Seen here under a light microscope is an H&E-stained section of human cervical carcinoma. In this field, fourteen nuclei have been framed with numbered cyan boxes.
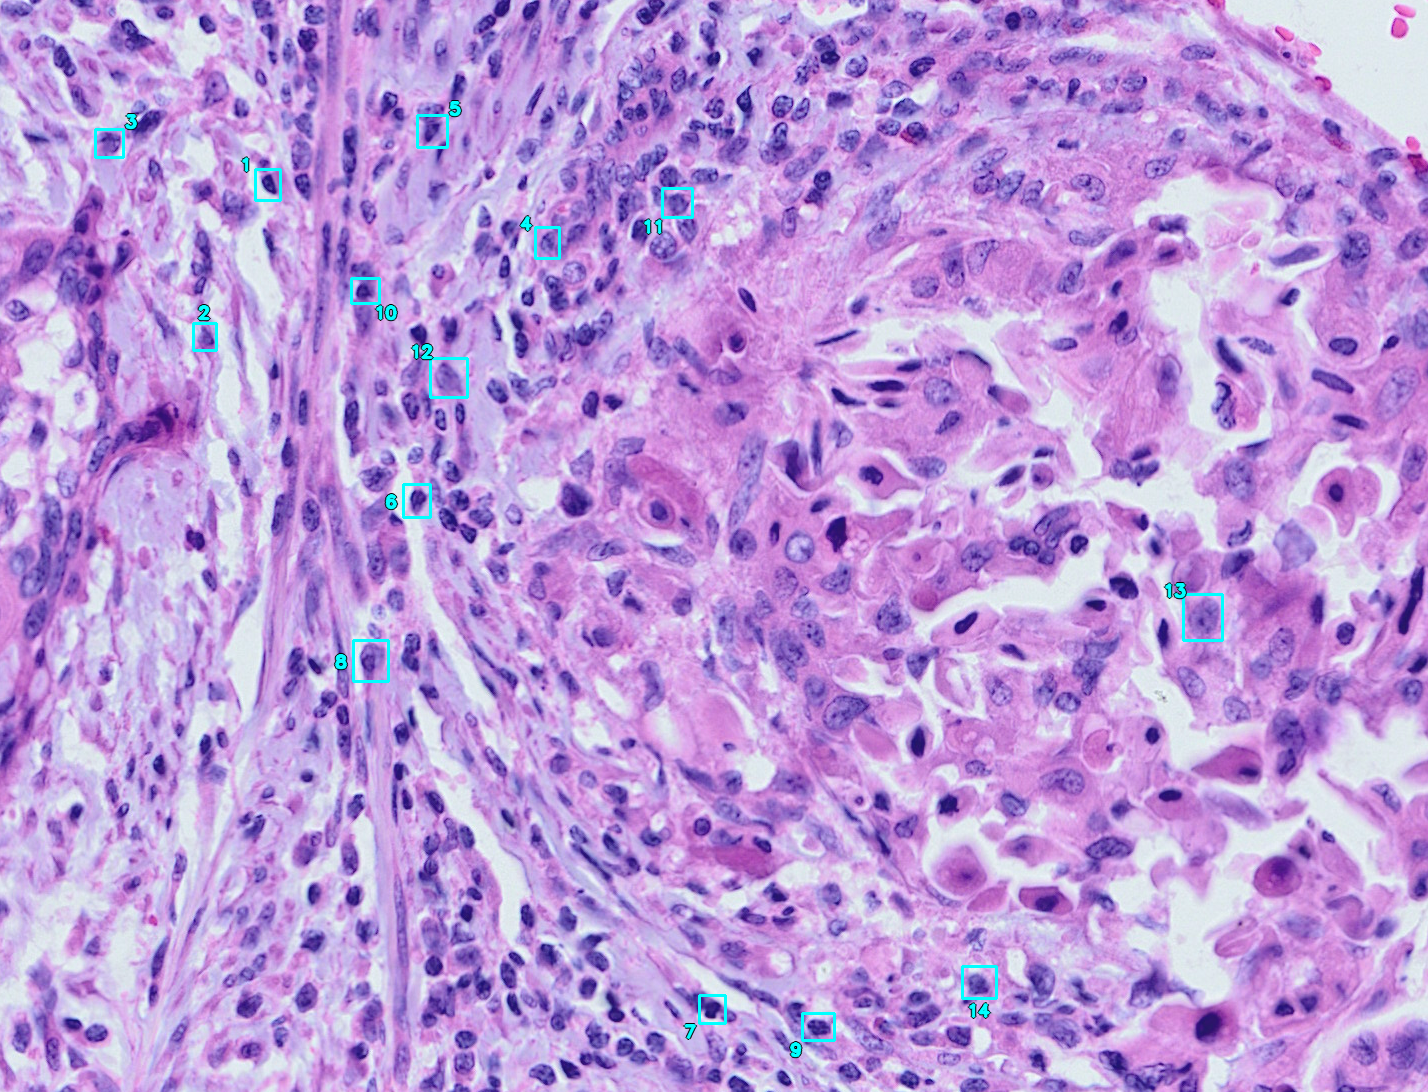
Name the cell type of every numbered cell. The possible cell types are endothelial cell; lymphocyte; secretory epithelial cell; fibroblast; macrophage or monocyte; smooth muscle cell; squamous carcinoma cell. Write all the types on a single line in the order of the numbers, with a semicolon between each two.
lymphocyte; fibroblast; macrophage or monocyte; endothelial cell; lymphocyte; lymphocyte; lymphocyte; macrophage or monocyte; lymphocyte; lymphocyte; lymphocyte; macrophage or monocyte; macrophage or monocyte; lymphocyte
